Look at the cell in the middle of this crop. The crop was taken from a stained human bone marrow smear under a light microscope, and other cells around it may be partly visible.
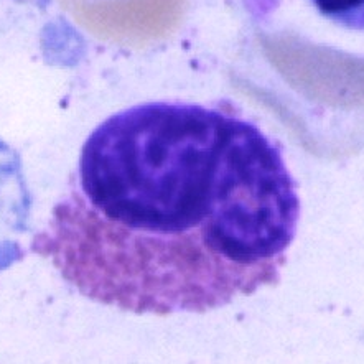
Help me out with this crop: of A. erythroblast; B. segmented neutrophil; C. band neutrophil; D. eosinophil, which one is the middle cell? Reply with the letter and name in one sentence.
Option D is the right one, for the cell in the middle is an eosinophil.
